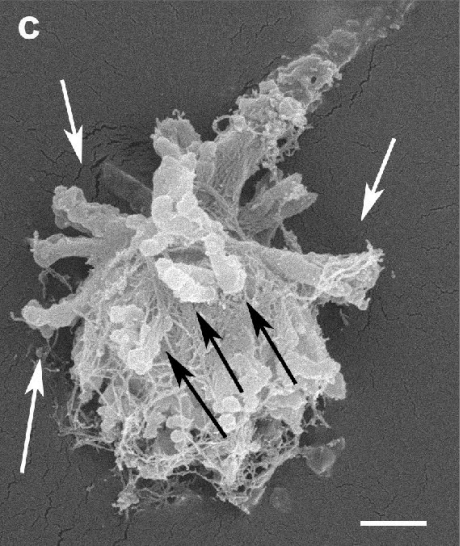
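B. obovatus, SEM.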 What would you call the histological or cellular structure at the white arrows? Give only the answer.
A: finger-like projections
